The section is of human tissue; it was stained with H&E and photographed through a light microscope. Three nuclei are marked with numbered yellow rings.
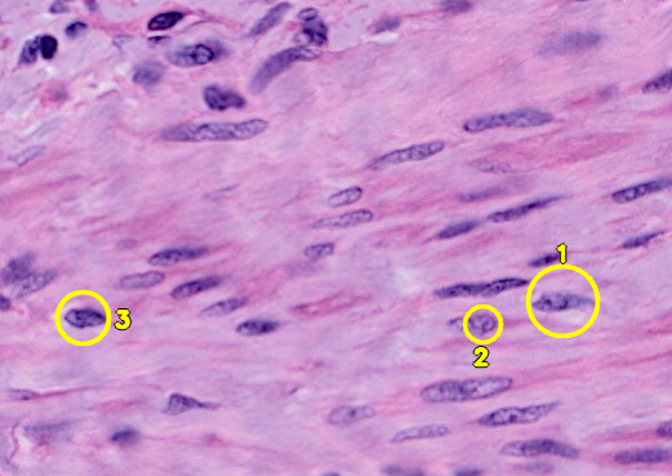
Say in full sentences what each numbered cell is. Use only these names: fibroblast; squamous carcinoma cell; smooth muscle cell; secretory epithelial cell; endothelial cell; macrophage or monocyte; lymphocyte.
Cell 1 is a fibroblast, cell 2 is a smooth muscle cell and cell 3 is a lymphocyte.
